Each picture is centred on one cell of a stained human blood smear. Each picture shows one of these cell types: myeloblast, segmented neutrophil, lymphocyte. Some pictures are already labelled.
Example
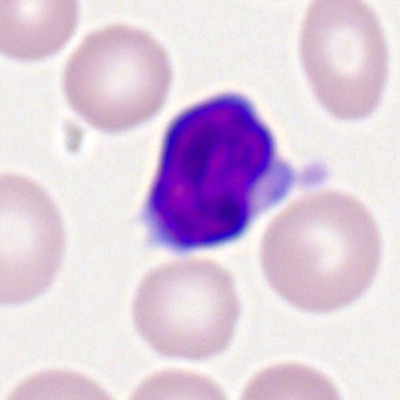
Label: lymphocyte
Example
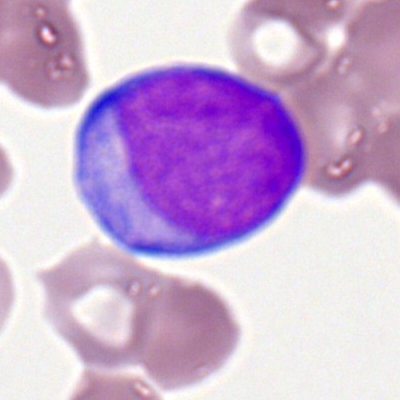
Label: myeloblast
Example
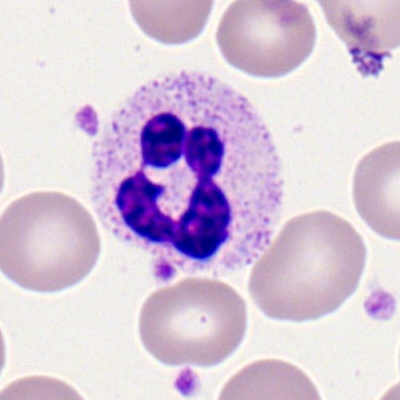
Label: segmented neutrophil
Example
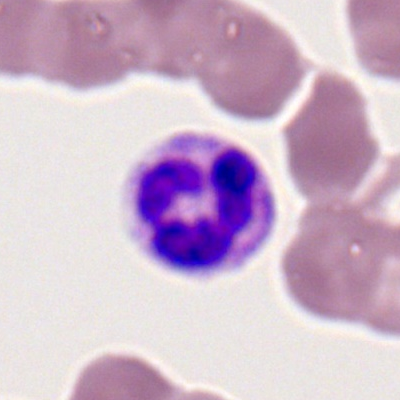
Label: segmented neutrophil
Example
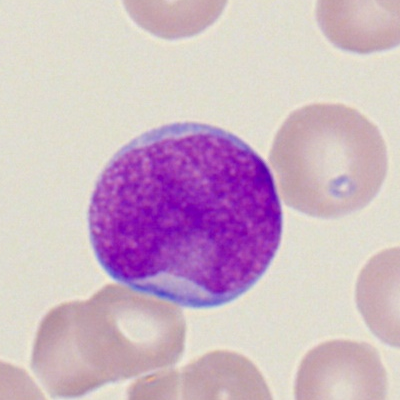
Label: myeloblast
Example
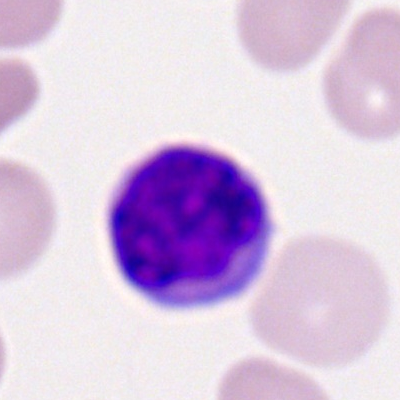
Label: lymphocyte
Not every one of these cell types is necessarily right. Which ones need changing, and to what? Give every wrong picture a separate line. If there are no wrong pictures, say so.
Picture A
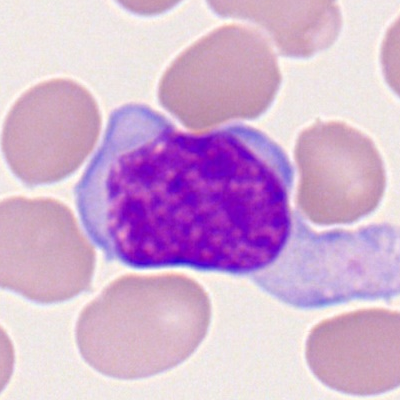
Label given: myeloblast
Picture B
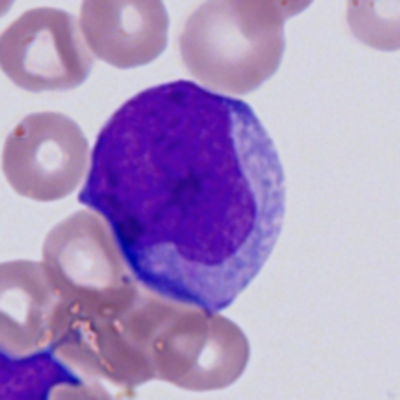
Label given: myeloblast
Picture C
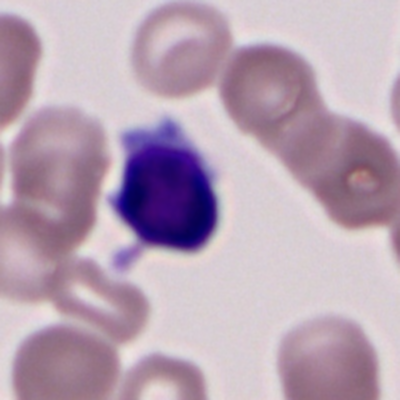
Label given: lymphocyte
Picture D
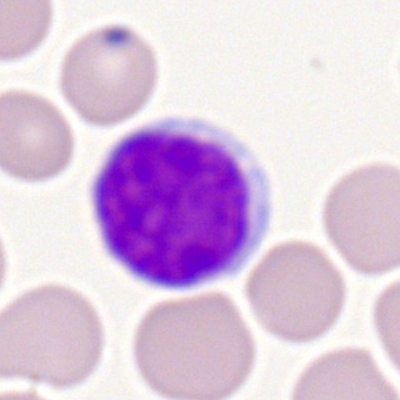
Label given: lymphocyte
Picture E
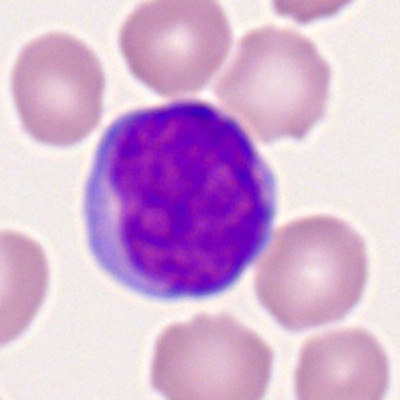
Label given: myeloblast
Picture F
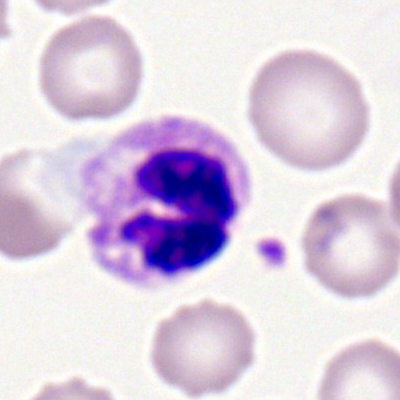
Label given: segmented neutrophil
A: lymphocyte, not myeloblast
